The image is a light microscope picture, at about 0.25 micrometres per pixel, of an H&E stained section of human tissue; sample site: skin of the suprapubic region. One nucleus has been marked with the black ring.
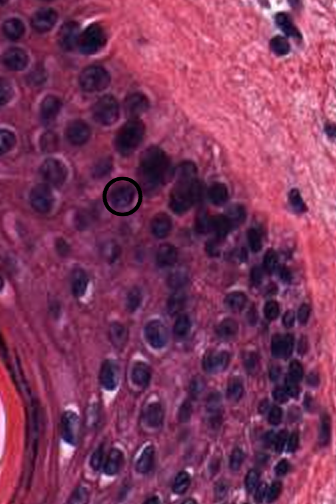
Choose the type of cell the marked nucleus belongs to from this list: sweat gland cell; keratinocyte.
keratinocyte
